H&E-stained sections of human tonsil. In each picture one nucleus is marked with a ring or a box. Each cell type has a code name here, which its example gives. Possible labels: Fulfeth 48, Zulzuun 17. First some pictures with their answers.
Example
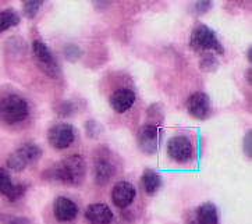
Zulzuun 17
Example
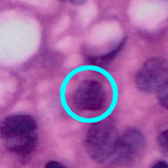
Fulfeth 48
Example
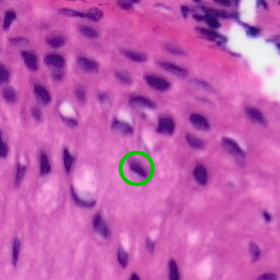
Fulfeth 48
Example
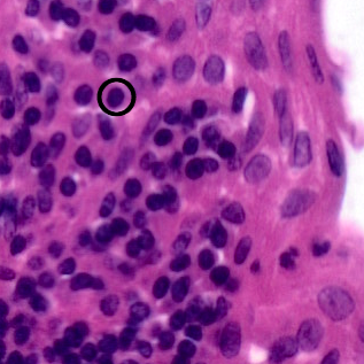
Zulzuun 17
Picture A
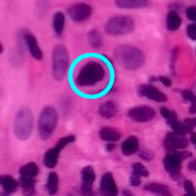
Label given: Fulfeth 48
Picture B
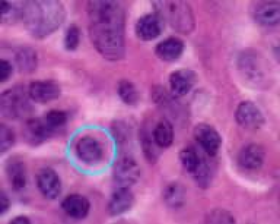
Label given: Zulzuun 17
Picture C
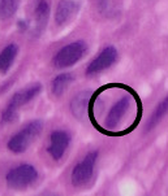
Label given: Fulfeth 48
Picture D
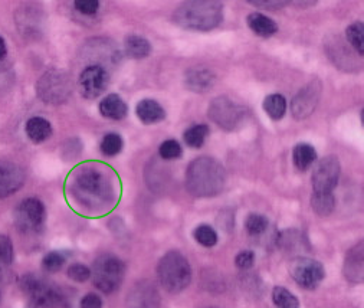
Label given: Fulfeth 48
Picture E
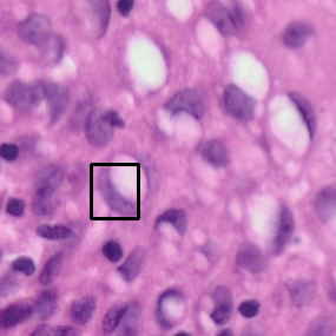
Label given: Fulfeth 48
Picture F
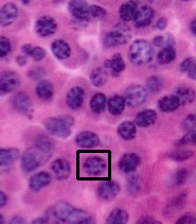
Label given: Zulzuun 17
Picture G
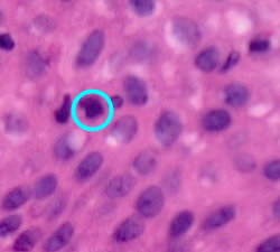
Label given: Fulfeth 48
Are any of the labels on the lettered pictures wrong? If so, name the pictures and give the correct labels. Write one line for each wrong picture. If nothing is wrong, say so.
All correct.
